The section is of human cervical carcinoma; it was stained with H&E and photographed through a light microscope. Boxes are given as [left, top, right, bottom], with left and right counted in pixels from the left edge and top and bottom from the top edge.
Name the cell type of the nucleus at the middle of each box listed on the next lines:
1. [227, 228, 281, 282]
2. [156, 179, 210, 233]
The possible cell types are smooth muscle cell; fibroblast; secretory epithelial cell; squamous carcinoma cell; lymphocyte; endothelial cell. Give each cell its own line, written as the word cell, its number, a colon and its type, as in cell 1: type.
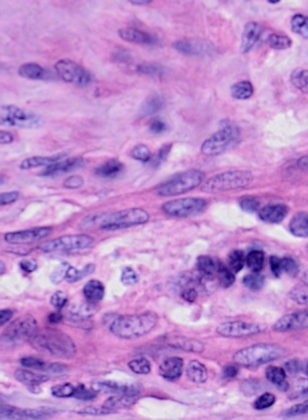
cell 1: lymphocyte
cell 2: endothelial cell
